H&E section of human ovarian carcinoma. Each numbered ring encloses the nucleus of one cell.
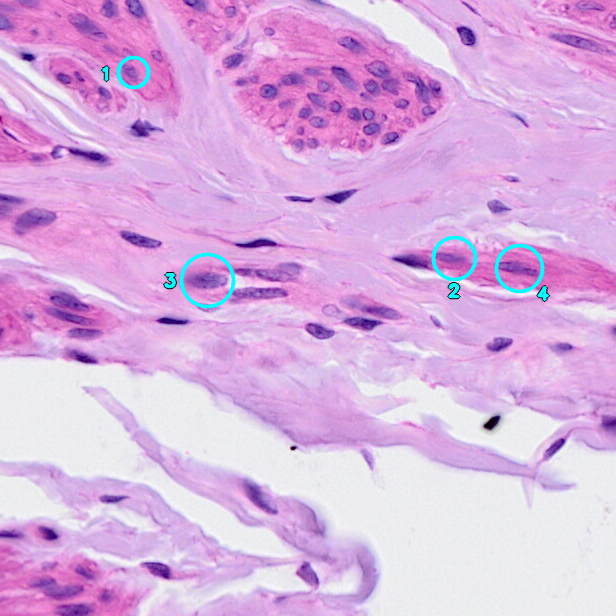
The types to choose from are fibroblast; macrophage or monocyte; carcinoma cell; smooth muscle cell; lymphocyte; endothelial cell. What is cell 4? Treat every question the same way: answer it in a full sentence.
Cell 4 is classified as a smooth muscle cell.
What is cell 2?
Cell 2, as marked in the section, is a smooth muscle cell.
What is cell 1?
Number 1 among the marked cells is a smooth muscle cell.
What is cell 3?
Cell number 3 in this section is an endothelial cell.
